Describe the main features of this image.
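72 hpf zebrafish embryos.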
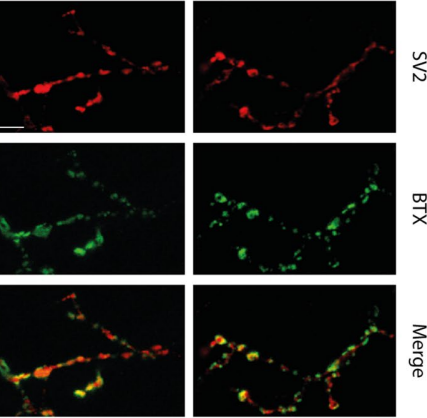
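Neuromuscular junctions along branching motor axon terminals. The red channel shows chains of rounded puncta of varying size strung along thin branches, some swollen into larger clusters. The green channel shows discrete puncta and small ring-like or oval clusters along the same courses. No cell bodies or nuclei are visible; the background is dark.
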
